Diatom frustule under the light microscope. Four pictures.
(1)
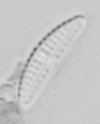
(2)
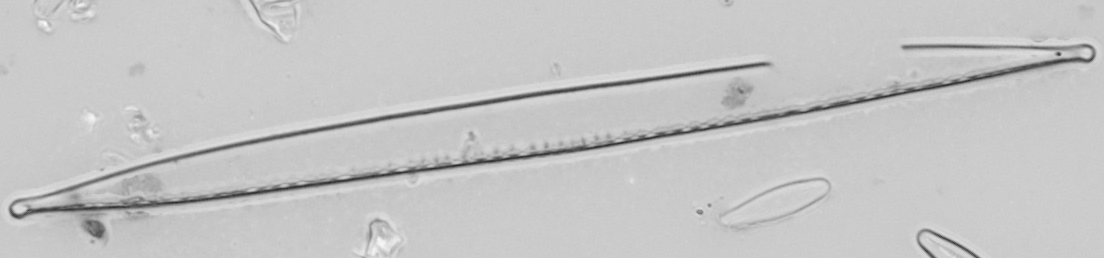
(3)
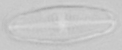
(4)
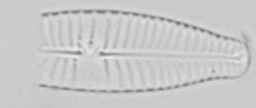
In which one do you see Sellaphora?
In picture 3.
